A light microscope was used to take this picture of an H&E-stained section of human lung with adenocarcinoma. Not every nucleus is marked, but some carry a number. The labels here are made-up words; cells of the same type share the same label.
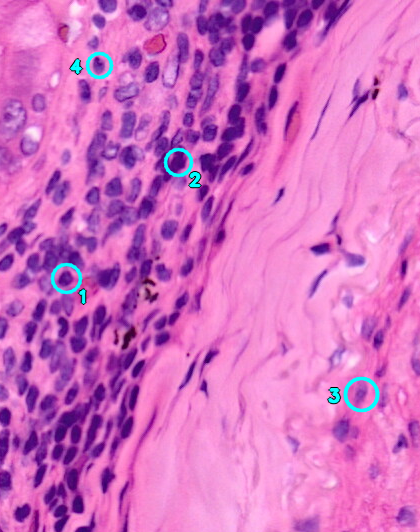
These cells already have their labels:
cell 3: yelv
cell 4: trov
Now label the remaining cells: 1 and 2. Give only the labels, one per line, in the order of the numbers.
trov
trov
